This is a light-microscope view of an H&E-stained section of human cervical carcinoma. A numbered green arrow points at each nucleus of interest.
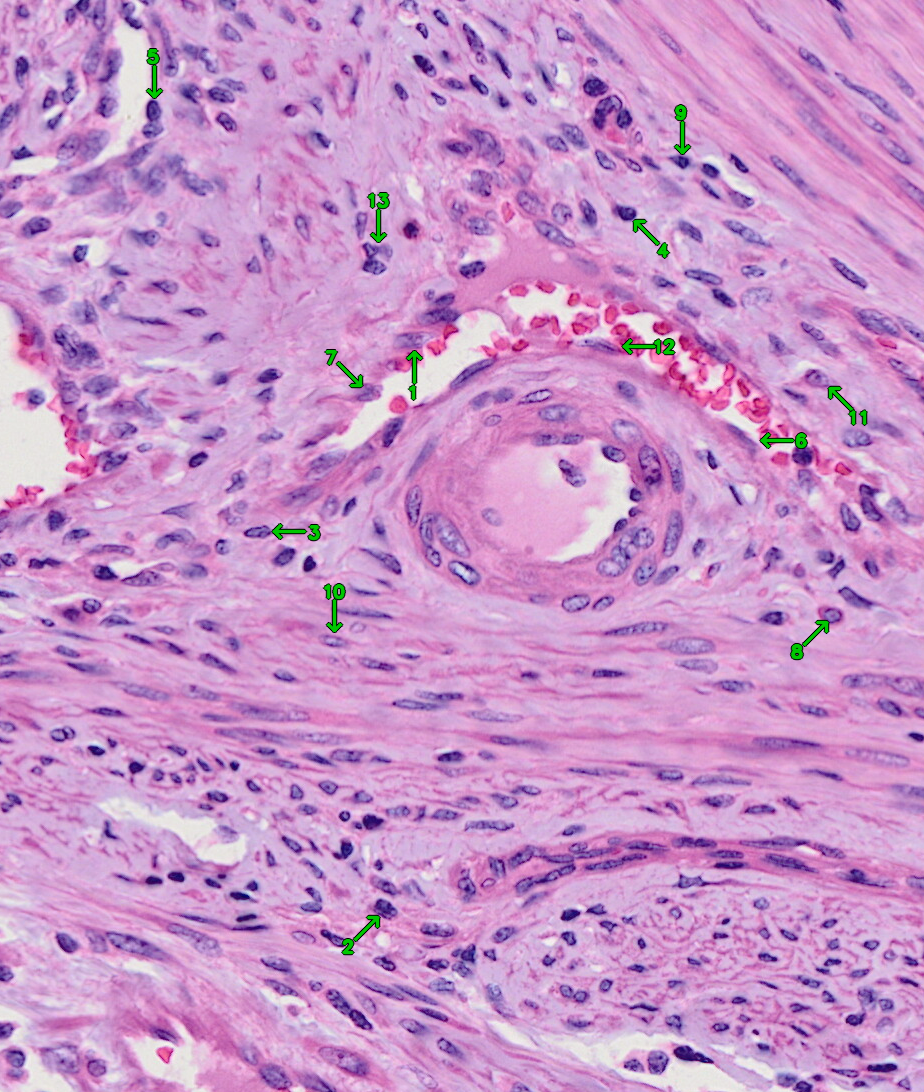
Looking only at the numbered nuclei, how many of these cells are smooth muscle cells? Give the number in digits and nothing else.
2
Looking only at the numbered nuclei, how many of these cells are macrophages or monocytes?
1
